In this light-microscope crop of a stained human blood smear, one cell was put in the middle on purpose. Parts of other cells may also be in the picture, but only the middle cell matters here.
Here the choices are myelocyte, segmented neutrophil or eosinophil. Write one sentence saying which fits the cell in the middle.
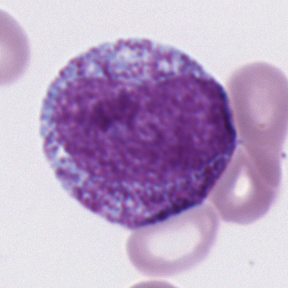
Among the cells in view, the one in the middle is a myelocyte.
